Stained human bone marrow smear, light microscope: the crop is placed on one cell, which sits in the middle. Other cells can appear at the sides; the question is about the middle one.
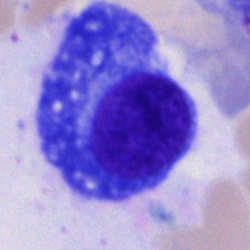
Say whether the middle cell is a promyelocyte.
no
